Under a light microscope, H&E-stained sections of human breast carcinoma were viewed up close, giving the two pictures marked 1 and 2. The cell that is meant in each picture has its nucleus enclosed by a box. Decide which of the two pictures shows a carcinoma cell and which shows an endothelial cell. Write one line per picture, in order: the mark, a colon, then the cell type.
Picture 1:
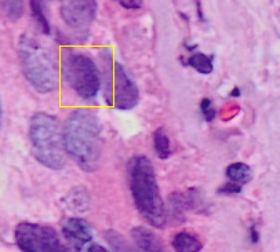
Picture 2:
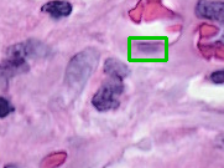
1: carcinoma cell
2: endothelial cell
